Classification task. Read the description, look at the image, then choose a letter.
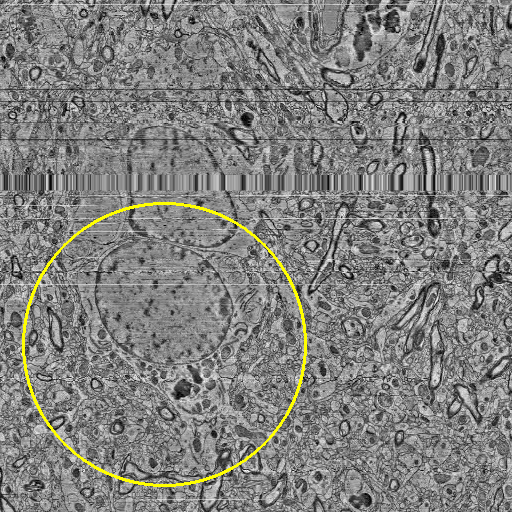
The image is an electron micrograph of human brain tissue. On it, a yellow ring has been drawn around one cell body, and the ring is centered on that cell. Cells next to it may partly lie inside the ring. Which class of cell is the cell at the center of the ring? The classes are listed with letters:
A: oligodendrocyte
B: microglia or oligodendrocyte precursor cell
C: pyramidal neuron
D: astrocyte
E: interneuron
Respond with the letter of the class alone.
D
